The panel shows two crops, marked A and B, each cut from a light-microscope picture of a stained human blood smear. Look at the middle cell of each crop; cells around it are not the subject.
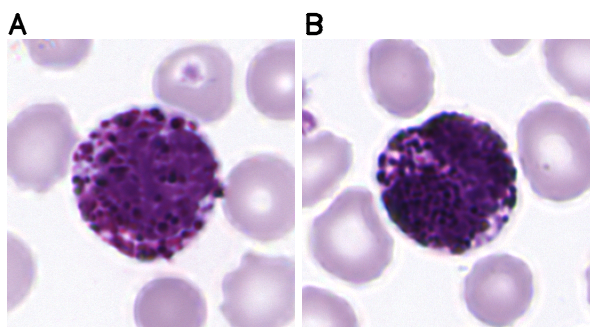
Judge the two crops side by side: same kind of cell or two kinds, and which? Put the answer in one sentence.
Yes, both crops show basophils, and the two match.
